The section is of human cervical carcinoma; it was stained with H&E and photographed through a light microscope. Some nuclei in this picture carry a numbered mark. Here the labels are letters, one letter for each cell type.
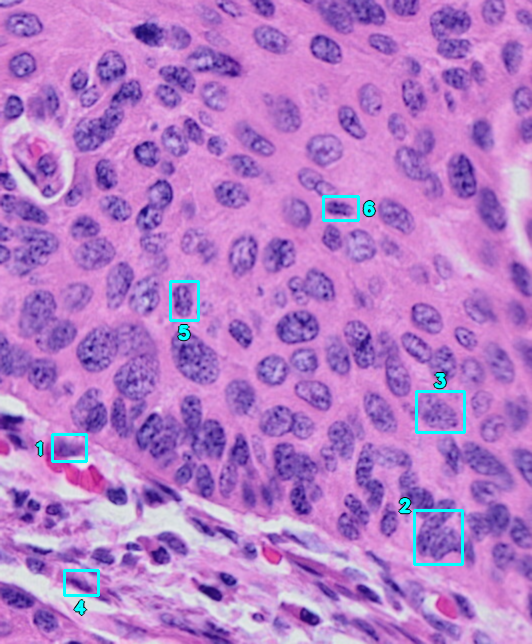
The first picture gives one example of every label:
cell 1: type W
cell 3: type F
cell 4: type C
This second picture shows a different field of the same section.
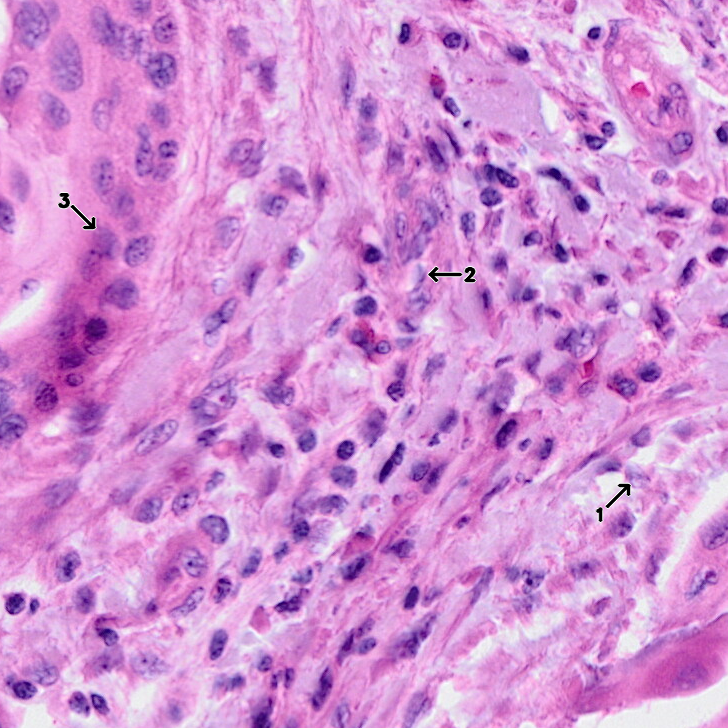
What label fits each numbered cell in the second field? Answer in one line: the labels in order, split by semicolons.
type C; type W; type F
